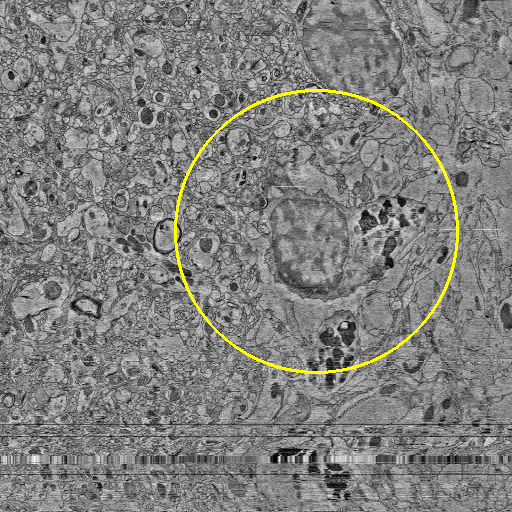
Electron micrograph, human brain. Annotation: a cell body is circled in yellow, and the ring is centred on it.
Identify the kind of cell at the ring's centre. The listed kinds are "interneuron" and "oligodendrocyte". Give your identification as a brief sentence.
The circled cell body is that of an oligodendrocyte.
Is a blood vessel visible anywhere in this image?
Yes.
